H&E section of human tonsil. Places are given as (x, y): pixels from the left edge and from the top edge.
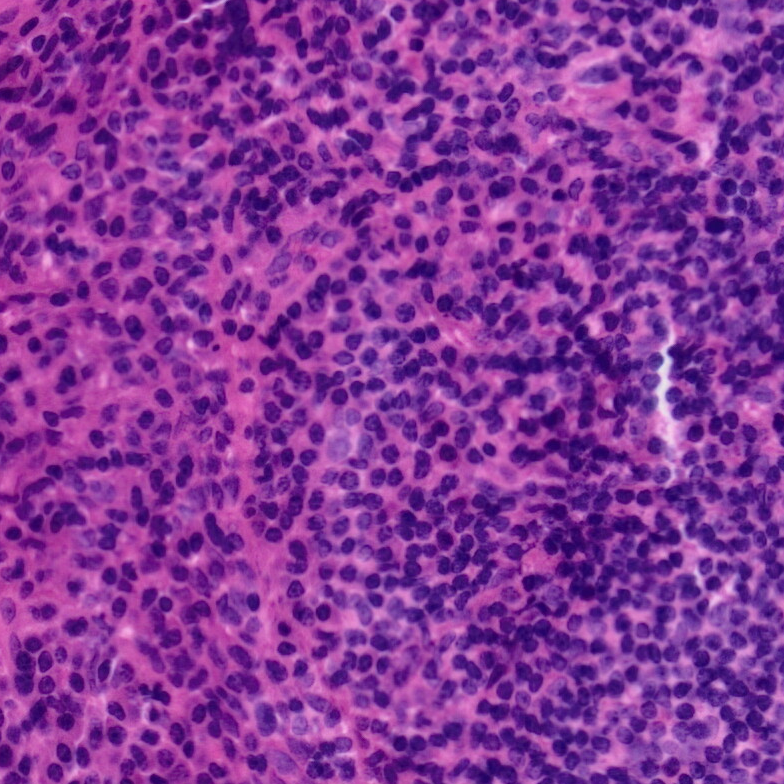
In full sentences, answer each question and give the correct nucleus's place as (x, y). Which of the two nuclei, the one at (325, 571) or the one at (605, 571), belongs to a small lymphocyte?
Belonging to a small lymphocyte is the nucleus at (605, 571).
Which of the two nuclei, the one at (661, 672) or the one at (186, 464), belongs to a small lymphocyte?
In this pair, the nucleus at (661, 672) belongs to a small lymphocyte.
